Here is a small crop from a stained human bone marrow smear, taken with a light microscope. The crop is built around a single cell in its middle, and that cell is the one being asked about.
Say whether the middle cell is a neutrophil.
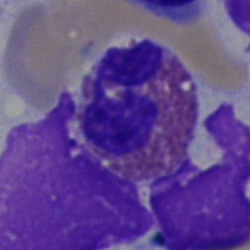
no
